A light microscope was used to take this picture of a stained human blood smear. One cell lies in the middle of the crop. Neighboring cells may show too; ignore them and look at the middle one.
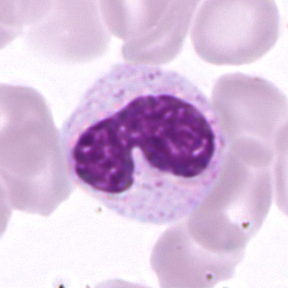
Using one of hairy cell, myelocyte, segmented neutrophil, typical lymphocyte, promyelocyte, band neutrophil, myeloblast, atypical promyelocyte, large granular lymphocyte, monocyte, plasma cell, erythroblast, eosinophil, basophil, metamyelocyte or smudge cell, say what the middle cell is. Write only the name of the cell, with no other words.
band neutrophil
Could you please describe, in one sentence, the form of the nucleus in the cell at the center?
The cell carries one compact nucleus shaped round, oval or like a kidney.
